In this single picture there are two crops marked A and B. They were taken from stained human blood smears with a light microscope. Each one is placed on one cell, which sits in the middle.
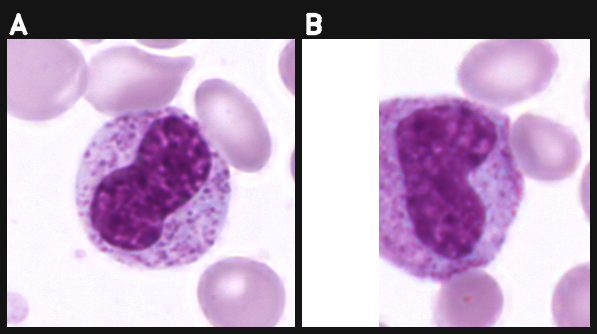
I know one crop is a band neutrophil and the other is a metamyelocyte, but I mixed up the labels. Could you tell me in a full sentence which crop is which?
Crop A contains a band neutrophil, and crop B contains a metamyelocyte.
